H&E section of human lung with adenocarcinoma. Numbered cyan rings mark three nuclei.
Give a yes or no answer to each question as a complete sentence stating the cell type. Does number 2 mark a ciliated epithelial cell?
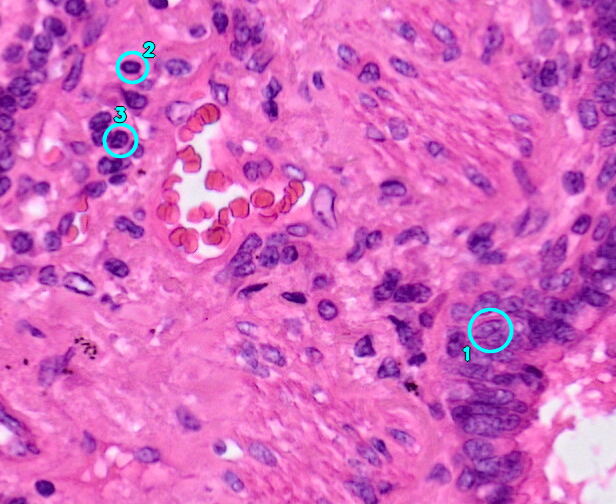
No, cell 2 is identified not as a ciliated epithelial cell but as a lymphocyte.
